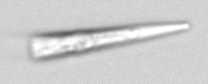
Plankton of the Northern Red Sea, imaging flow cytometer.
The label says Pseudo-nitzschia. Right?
Wrong: this is Licmophora.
